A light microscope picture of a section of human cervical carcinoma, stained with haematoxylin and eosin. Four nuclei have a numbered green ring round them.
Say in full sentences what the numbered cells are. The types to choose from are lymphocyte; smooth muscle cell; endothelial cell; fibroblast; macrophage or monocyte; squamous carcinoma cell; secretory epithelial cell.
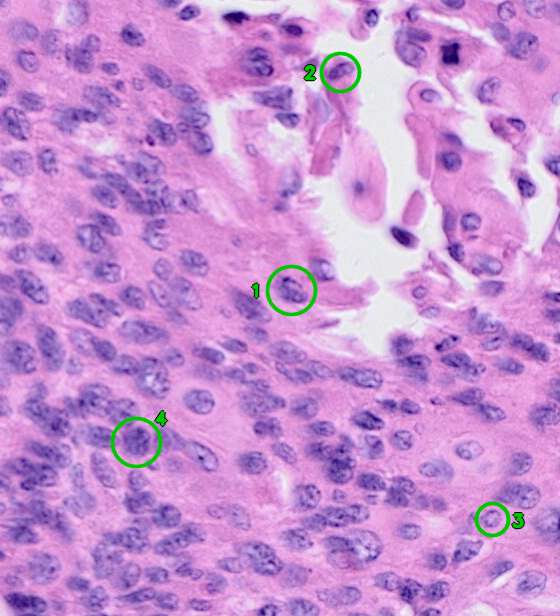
Cell 1 is a squamous carcinoma cell, cell 2 is a macrophage or monocyte, cell 3 is a squamous carcinoma cell and cell 4 is a squamous carcinoma cell.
